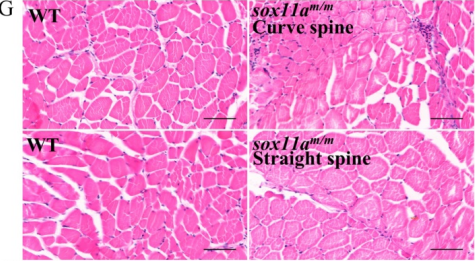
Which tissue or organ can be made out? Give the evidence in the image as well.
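Muscle fibers. Closely packed polygonal profiles stained evenly pink. Small dark purple nuclei lie at the edges of the profiles. Profiles are separated by thin pale clefts.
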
